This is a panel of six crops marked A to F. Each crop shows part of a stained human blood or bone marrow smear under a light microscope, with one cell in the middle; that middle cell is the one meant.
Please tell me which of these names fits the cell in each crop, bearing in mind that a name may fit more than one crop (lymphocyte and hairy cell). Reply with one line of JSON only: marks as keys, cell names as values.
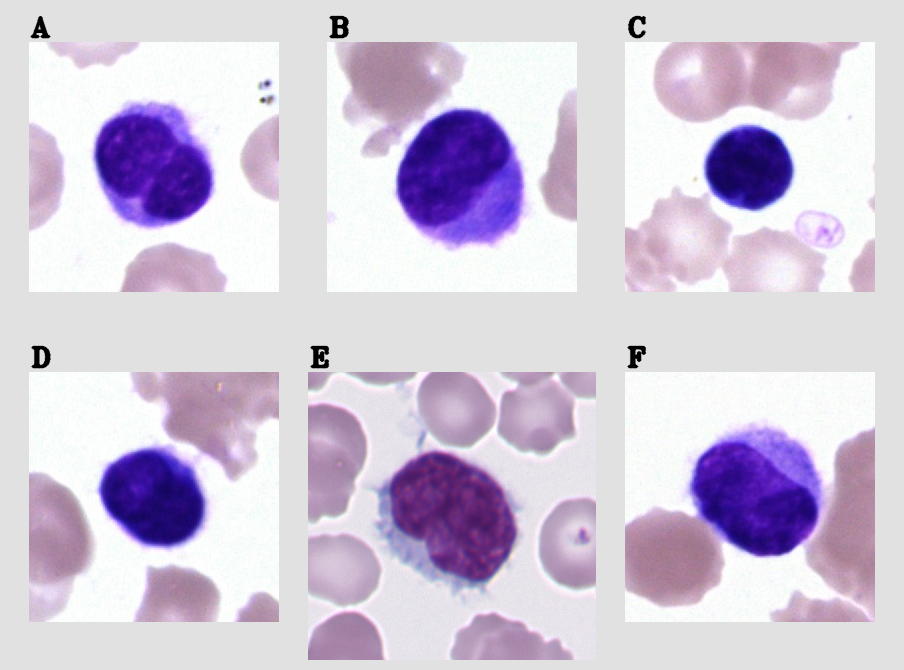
{"A": "lymphocyte", "B": "hairy cell", "C": "lymphocyte", "D": "lymphocyte", "E": "hairy cell", "F": "hairy cell"}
